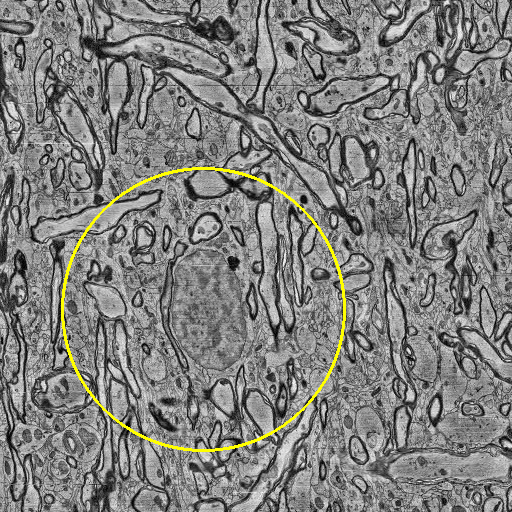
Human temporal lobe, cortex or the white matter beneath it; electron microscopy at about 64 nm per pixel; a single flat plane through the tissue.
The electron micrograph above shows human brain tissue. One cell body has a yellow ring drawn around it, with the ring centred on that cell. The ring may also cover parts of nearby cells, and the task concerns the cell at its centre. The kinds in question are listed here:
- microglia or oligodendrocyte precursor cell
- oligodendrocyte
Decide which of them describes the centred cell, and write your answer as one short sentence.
The centred cell is an oligodendrocyte.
